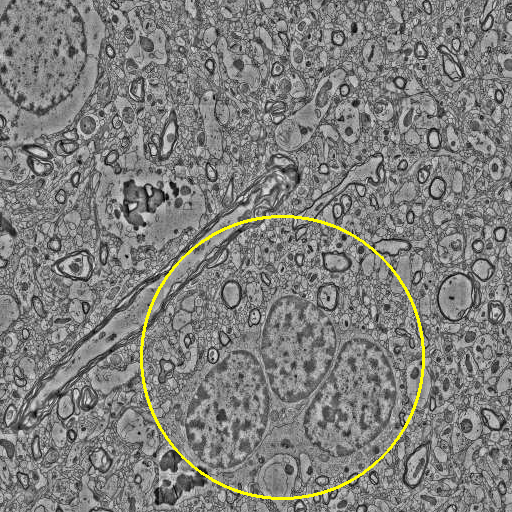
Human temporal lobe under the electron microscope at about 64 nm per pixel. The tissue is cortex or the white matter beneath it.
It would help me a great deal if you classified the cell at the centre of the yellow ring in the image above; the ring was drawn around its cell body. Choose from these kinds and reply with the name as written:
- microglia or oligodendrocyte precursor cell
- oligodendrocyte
oligodendrocyte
